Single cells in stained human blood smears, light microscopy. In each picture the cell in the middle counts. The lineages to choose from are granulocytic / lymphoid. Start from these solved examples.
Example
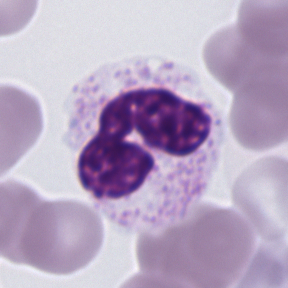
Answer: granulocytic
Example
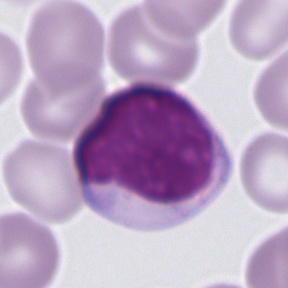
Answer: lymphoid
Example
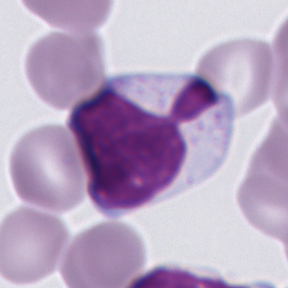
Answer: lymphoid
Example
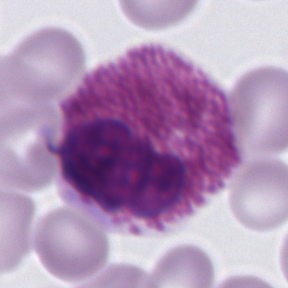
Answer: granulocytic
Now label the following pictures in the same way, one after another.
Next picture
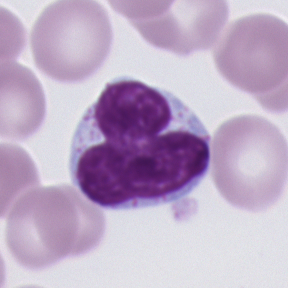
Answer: lymphoid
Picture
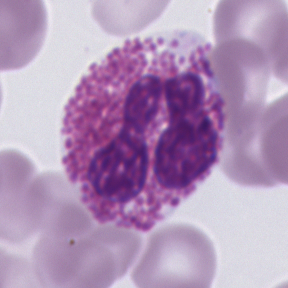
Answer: granulocytic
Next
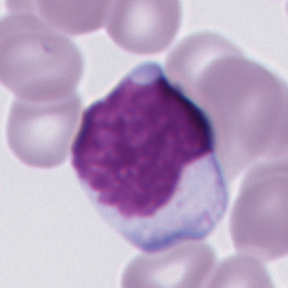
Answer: lymphoid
